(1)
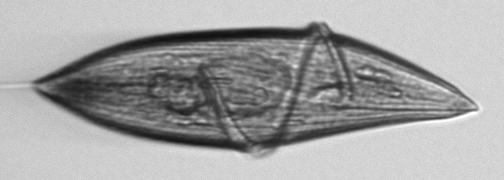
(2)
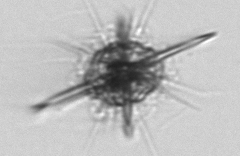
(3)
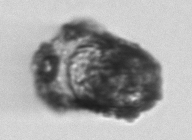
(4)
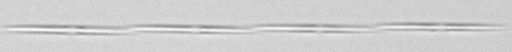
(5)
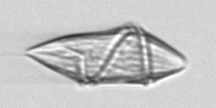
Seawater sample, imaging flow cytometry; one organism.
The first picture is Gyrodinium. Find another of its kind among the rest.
Picture 5.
